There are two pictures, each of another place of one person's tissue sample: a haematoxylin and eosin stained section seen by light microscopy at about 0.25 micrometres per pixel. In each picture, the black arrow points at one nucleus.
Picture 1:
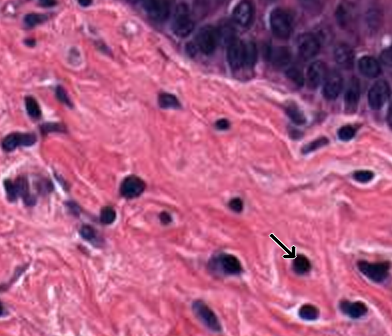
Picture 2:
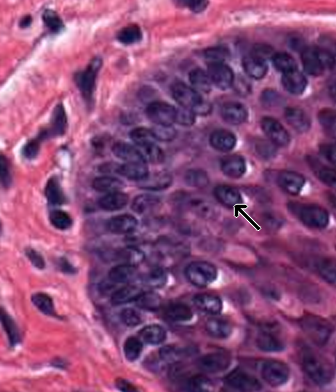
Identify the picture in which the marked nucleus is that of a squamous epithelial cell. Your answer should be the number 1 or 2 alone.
2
